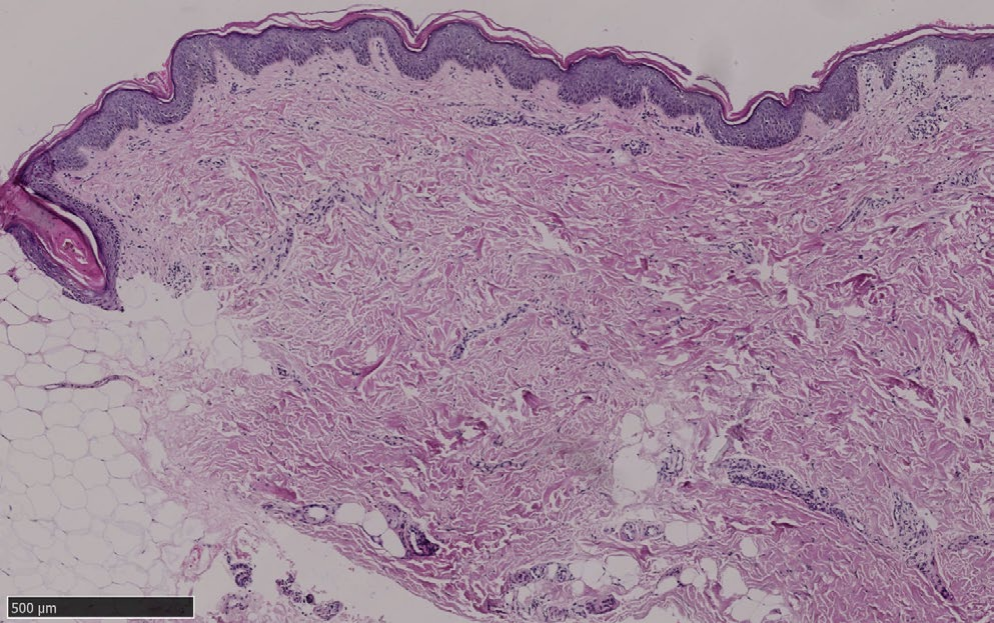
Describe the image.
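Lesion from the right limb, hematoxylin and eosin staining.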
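This is a section of skin, with a purple epidermis along the top, a broad pink dermis of wavy collagen bundles below it, and pale rounded fat cells of the subcutis at the lower left. The epidermis is covered by a continuous pink keratin layer, and at the left edge a follicle opening is filled with a plug of layered, bright pink keratin. Scattered through the dermis are small, loose clusters of dark nuclei gathered around vessels, a mild perivascular inflammatory infiltrate. Toward the bottom some epithelial structures and fat lobules are seen, but no clusters of pale, foamy sebaceous gland cells are evident beside the follicle.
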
